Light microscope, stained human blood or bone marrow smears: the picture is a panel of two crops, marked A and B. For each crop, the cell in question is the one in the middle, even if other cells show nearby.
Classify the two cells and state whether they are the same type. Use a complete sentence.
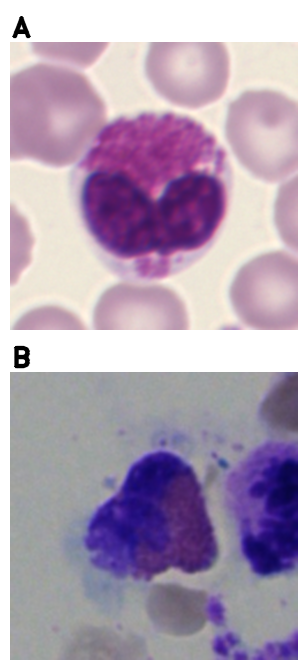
Yes, the two cells in the two crops are eosinophils.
